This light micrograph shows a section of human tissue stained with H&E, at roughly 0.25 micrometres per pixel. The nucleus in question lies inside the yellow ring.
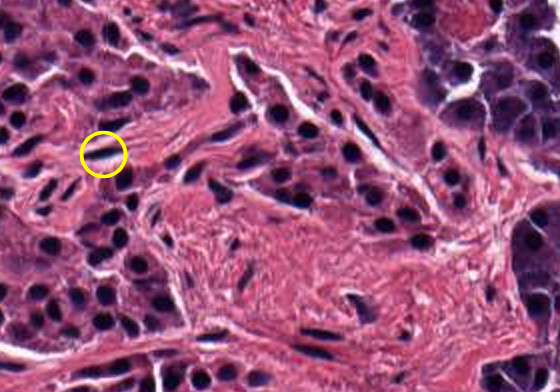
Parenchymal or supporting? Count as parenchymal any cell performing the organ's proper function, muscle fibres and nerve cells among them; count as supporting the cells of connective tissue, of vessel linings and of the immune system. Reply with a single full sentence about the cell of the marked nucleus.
The marked nucleus is classified as belonging to a supporting cell.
